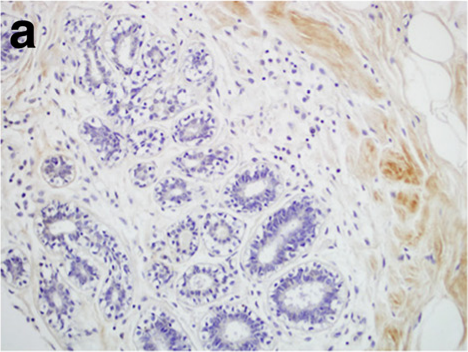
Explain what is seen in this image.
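This is normal breast tissue, showing a lobule of small ducts and acini set in loose connective tissue. Each gland has a central lumen lined by an orderly layer of epithelial cells with small blue nuclei and an outer cell layer around it.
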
